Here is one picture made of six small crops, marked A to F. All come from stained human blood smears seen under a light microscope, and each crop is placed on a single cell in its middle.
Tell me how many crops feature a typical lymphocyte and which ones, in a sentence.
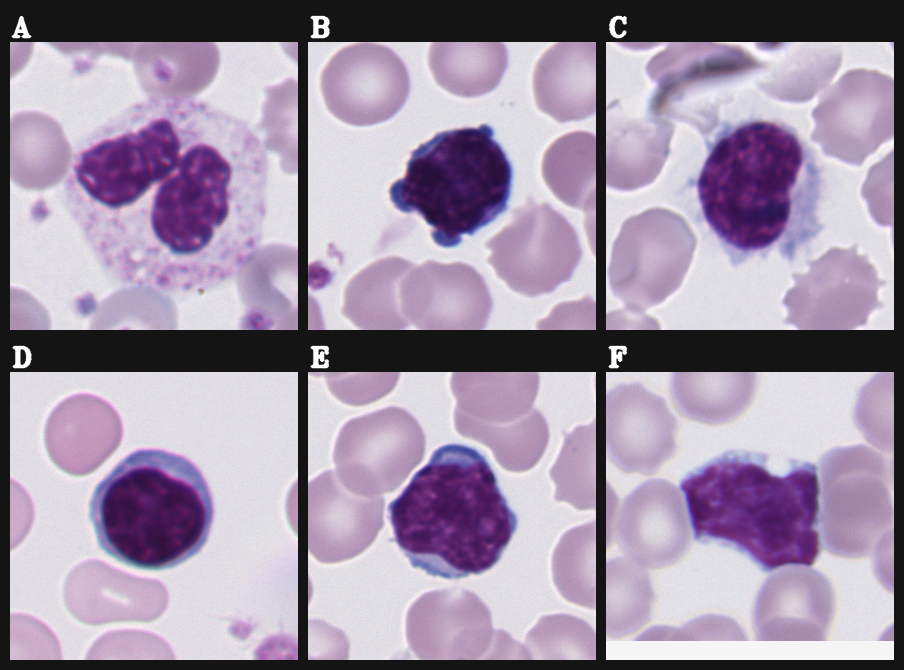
Those showing typical lymphocytes are crops B, D, E and F, so four crops in all.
